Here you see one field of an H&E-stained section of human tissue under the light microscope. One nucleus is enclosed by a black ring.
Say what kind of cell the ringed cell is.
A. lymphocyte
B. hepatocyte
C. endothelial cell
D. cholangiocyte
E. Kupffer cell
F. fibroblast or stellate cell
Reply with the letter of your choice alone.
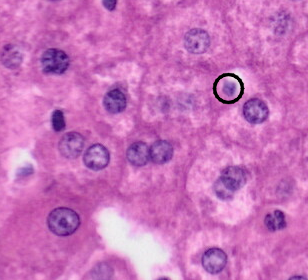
A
